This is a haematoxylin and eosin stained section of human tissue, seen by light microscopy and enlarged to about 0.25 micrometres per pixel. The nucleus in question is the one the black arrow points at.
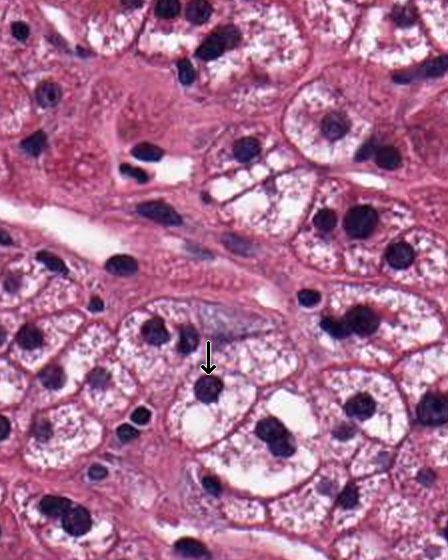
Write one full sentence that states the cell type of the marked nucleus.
The marked nucleus belongs, in this picture, to an adrenal cortical cell.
